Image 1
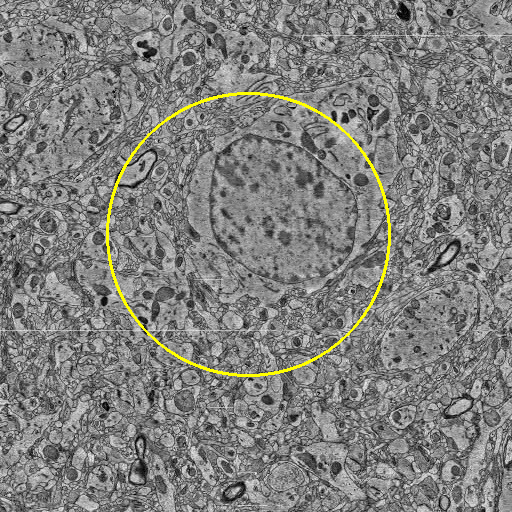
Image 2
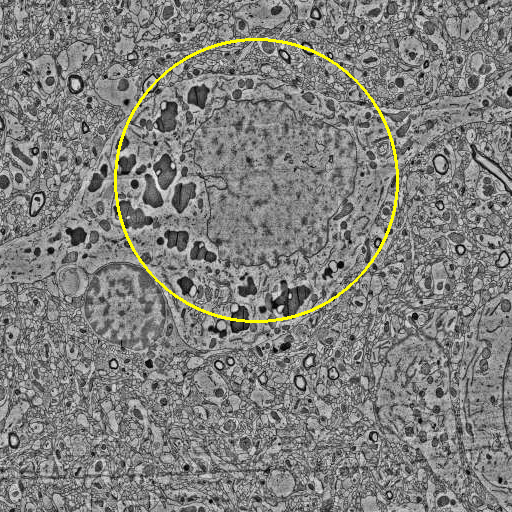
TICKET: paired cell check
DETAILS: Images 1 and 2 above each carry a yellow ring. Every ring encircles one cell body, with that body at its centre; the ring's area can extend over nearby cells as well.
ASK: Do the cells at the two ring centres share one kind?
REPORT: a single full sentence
No, the ring-centre cells of Images 1 and 2 belong to two kinds.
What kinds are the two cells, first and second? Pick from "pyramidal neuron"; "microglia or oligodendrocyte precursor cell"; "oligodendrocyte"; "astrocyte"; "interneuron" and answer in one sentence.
The second picture holds an interneuron in its ring, and the first holds an astrocyte.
